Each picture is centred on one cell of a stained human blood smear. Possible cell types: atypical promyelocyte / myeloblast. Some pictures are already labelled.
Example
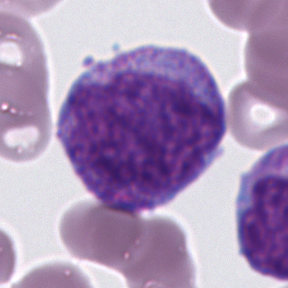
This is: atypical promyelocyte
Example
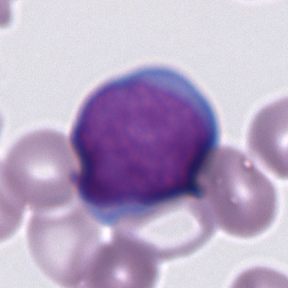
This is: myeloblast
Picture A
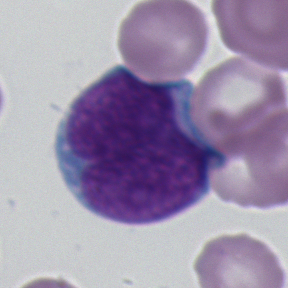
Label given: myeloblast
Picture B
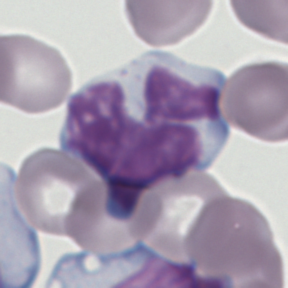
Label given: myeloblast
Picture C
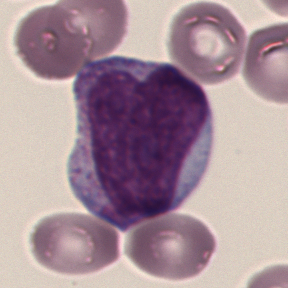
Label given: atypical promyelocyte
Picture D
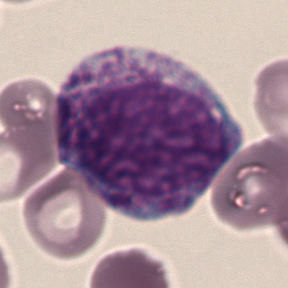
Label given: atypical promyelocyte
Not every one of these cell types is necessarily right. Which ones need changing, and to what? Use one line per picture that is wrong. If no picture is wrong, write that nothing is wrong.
Nothing to fix; every label fits.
